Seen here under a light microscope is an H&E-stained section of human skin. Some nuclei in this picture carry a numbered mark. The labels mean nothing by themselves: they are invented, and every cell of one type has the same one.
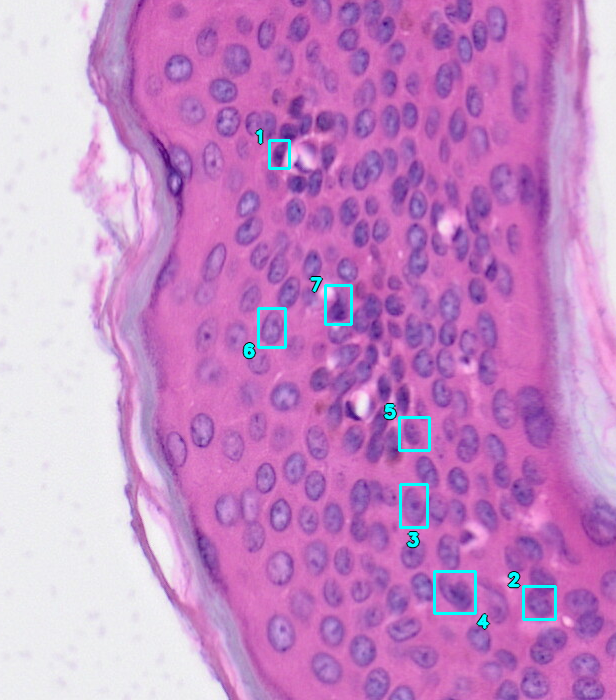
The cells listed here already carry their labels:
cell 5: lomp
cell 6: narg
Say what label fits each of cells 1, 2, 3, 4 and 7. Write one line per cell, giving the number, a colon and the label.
1: lomp
2: narg
3: narg
4: narg
7: lomp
